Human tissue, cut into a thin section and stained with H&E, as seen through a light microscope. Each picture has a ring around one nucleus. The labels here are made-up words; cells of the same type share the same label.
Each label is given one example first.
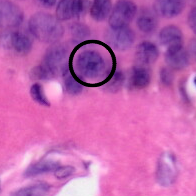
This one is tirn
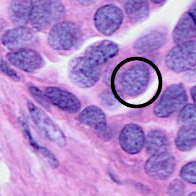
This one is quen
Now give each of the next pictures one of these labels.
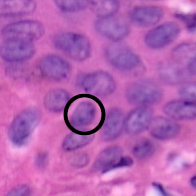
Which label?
tirn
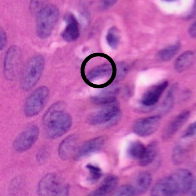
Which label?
tirn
